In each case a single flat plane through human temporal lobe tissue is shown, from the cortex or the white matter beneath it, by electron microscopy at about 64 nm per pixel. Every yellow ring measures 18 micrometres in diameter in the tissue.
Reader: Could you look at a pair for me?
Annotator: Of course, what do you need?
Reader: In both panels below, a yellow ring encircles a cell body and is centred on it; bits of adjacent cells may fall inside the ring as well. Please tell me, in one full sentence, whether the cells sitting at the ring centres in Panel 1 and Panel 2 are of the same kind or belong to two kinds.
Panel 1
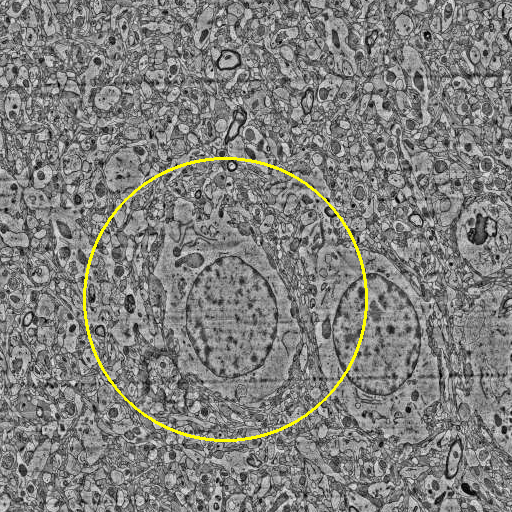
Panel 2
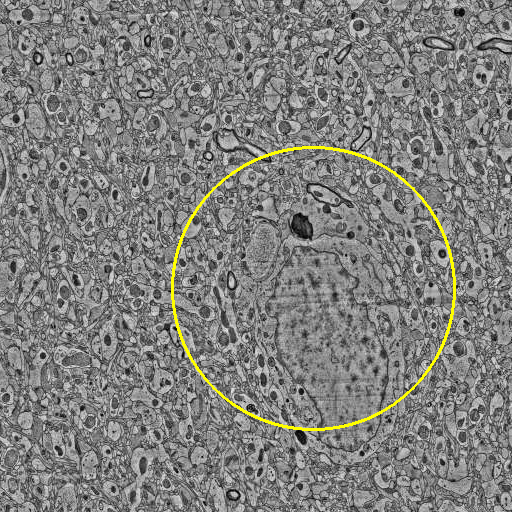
The cell at the ring's centre in Panel 1 and the one in Panel 2 belong to two kinds.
